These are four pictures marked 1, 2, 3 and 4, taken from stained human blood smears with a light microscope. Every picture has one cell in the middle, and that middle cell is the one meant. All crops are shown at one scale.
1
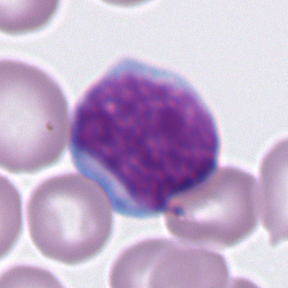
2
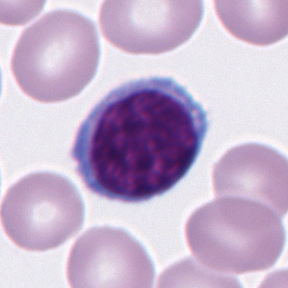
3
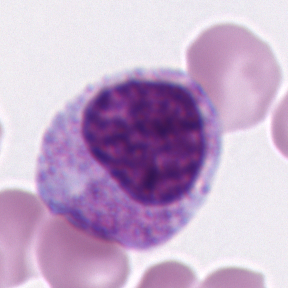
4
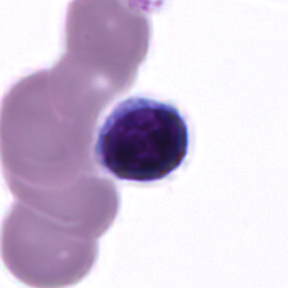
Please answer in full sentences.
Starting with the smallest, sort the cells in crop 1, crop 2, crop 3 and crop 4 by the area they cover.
Going up, they run 4, 2, 1, 3.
